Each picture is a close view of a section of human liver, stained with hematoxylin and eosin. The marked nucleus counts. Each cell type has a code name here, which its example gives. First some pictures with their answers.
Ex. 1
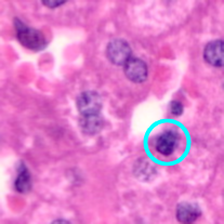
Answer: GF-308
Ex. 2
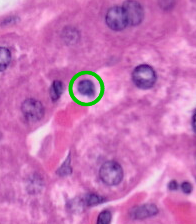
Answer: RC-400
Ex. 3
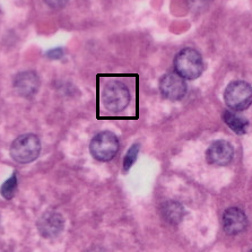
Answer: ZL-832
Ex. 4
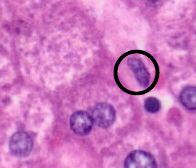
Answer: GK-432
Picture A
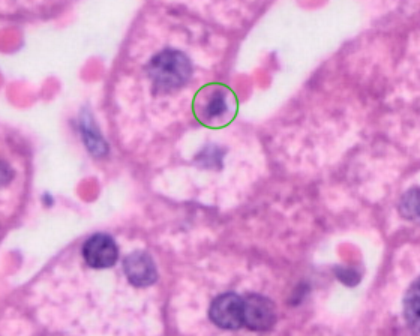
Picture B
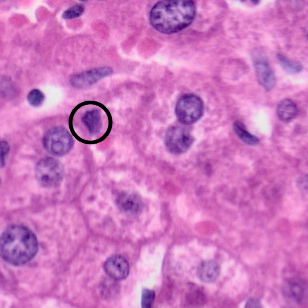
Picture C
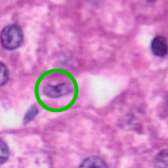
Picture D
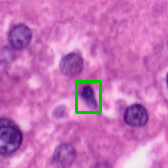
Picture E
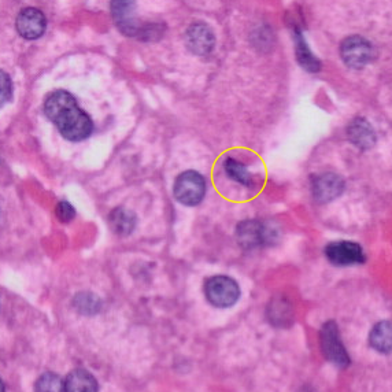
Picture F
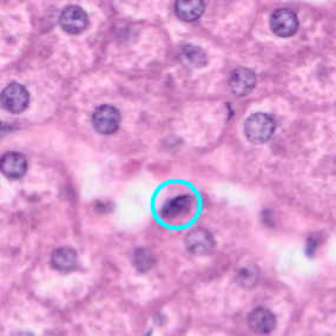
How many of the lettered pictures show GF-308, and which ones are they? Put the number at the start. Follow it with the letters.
5: A, B, D, E, F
